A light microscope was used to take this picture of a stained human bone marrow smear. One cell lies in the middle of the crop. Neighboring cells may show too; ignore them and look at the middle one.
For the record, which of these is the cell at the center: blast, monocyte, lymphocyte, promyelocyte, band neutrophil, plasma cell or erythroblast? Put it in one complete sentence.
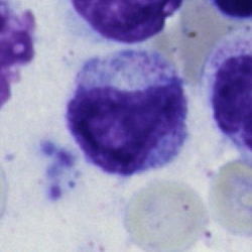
Occupying the centre of the crop is a monocyte.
